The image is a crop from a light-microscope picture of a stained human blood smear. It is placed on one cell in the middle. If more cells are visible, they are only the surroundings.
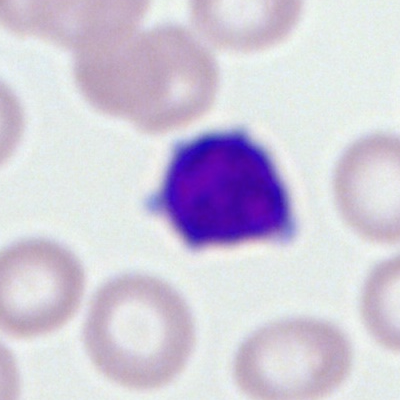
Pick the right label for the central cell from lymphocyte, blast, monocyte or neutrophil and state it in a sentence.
The cell in the exact centre of the crop is a lymphocyte.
